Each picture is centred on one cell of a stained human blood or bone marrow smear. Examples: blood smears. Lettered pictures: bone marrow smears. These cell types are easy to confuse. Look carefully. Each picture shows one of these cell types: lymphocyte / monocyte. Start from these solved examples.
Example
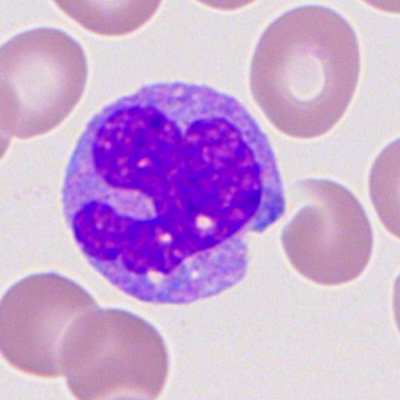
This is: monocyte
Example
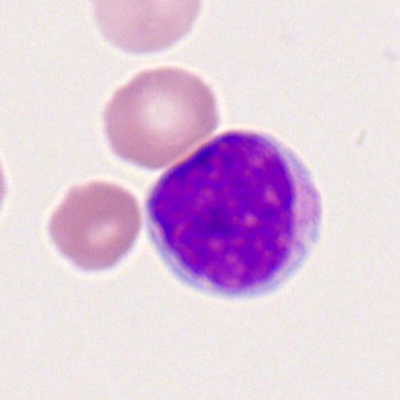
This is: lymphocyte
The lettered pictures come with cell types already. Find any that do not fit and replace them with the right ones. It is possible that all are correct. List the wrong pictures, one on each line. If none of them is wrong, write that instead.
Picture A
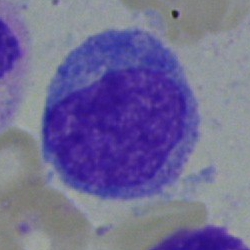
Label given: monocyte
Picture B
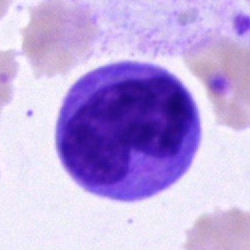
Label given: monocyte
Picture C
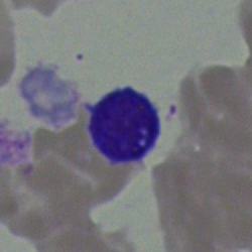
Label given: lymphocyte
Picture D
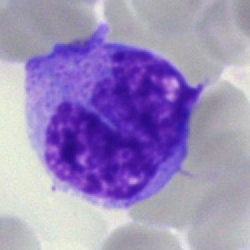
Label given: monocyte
All correct.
